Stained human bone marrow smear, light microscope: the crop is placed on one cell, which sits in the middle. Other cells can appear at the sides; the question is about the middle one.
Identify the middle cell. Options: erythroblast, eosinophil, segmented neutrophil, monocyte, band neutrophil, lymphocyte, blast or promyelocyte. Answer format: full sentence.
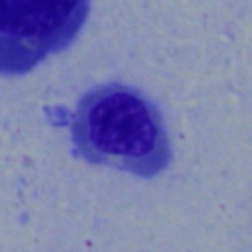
What the crop centres on is an erythroblast.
